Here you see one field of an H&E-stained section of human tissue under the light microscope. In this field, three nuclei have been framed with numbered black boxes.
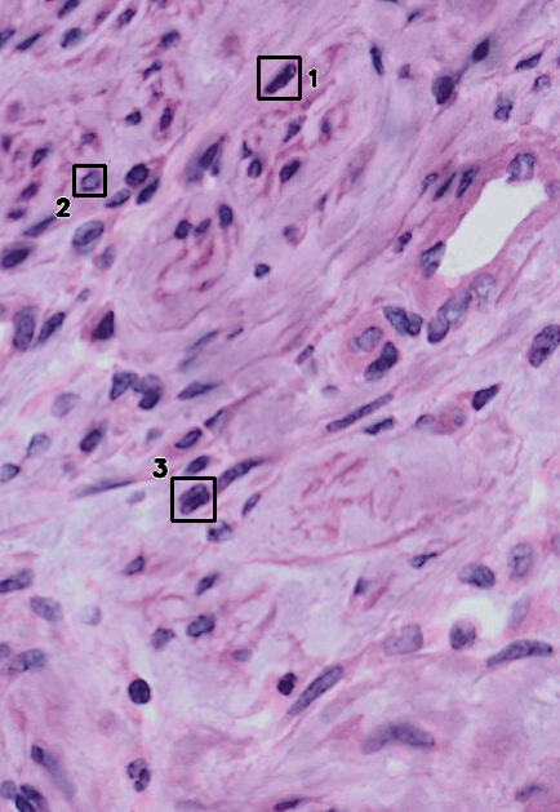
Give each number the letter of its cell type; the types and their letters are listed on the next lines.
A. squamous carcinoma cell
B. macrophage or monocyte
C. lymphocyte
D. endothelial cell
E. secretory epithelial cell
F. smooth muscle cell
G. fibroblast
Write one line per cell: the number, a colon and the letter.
1: C
2: F
3: C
